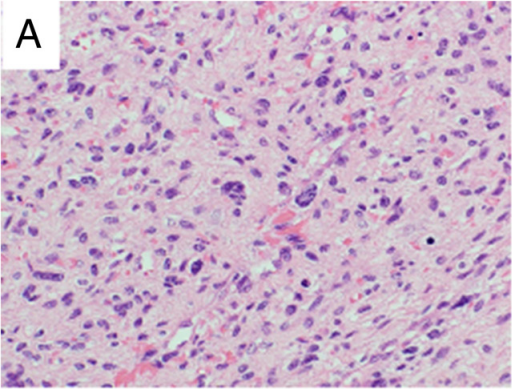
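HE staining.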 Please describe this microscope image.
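A loosely cellular tumor of spindled, oval and irregular cells lies in a pale pink myxoid to fibrous stroma. The nuclei are dark purple, varying in size and shape, with some enlarged and hyperchromatic forms. The cells are spread without a clear pattern, separated by wispy matrix and small clear spaces, with a few red blood cells between them.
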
